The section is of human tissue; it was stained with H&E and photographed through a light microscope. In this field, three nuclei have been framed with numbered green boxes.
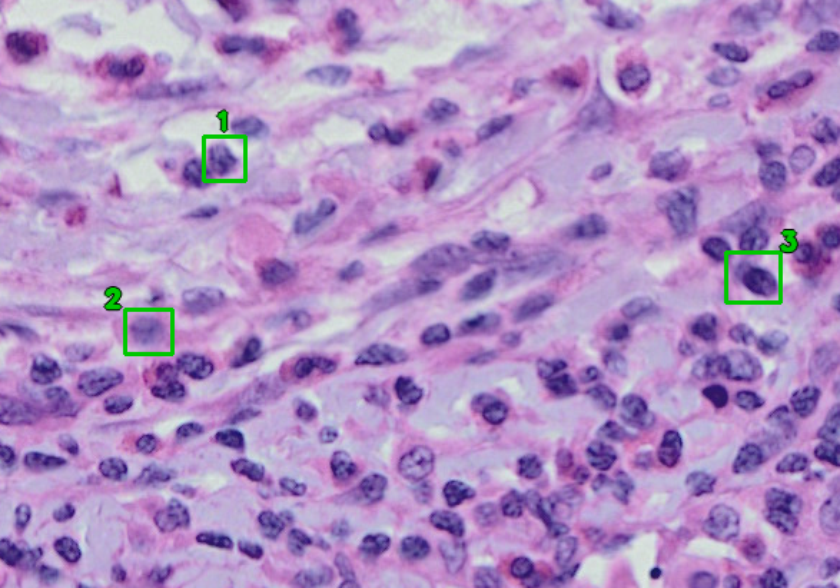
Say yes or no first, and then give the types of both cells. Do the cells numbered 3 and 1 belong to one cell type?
Yes, as for cells 3 and 1, both are lymphocytes.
